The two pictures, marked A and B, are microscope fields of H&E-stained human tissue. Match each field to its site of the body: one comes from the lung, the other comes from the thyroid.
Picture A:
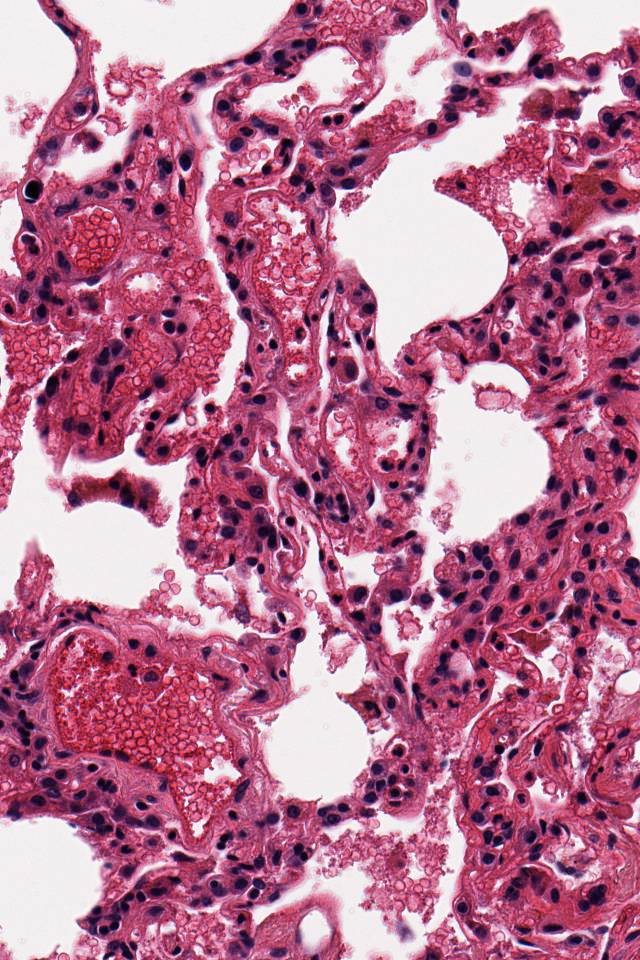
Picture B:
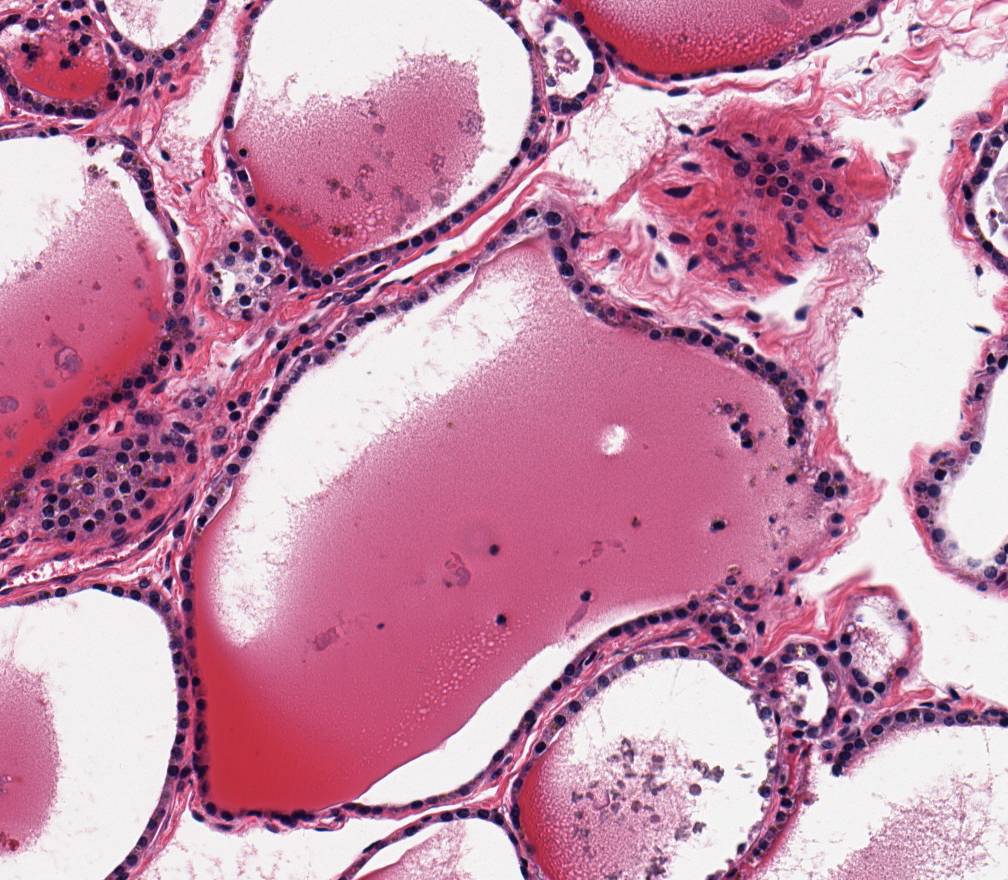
A: lung
B: thyroid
